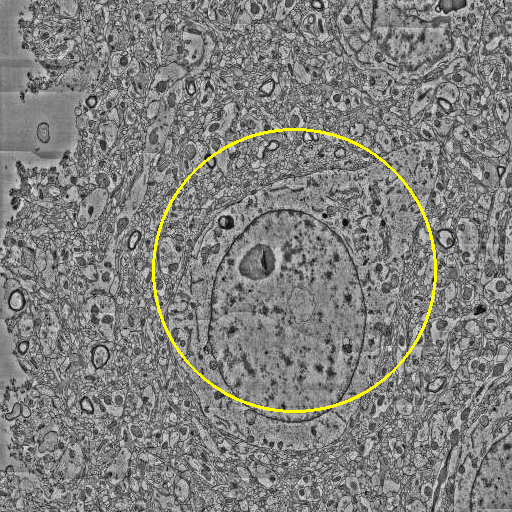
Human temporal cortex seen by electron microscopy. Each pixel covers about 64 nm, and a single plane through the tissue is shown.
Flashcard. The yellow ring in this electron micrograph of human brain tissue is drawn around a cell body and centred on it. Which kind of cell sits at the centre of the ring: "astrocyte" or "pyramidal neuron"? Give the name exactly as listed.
pyramidal neuron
